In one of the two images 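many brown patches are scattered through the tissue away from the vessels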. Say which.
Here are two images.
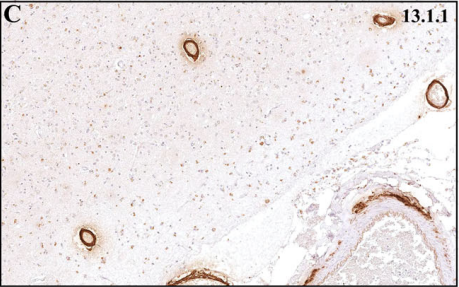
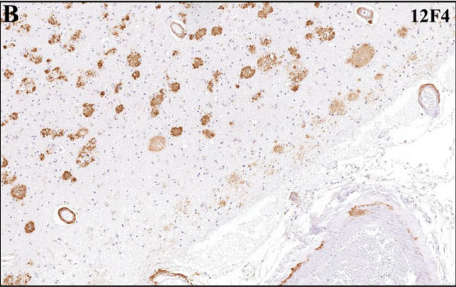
the second image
